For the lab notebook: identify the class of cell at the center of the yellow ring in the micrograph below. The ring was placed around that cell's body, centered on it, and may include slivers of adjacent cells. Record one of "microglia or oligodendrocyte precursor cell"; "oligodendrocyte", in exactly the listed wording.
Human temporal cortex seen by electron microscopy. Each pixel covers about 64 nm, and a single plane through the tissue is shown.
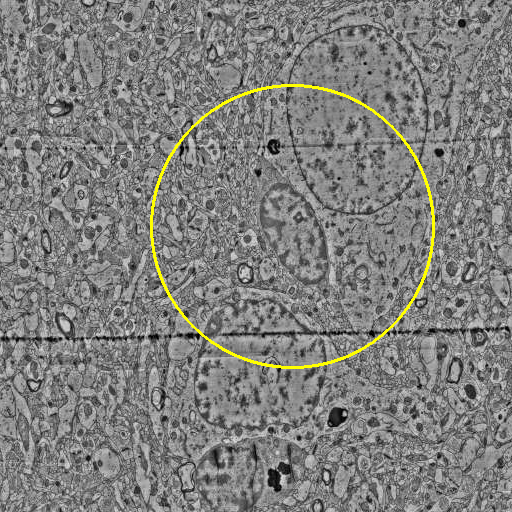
oligodendrocyte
